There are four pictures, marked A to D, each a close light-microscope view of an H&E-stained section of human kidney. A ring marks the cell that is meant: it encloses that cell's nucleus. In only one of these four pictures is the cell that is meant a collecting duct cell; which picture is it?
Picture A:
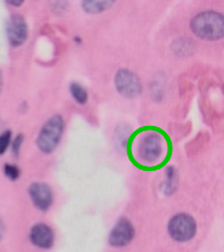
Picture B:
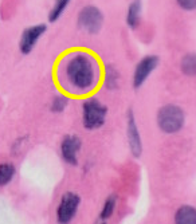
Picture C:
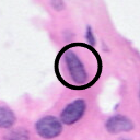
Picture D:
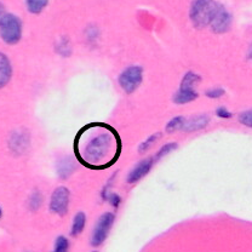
C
